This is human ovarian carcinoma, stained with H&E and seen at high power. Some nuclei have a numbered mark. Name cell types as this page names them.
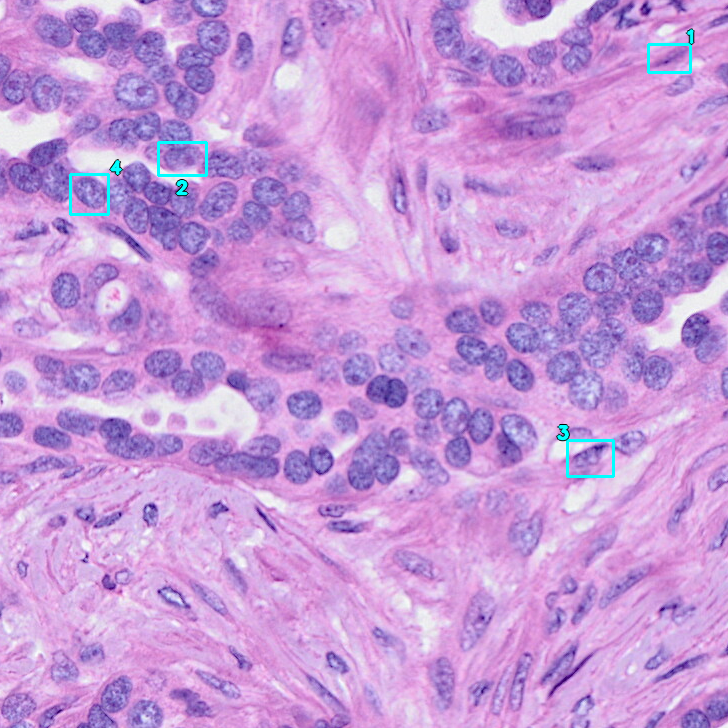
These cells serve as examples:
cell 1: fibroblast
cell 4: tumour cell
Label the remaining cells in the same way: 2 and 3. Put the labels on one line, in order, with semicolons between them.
tumour cell; fibroblast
